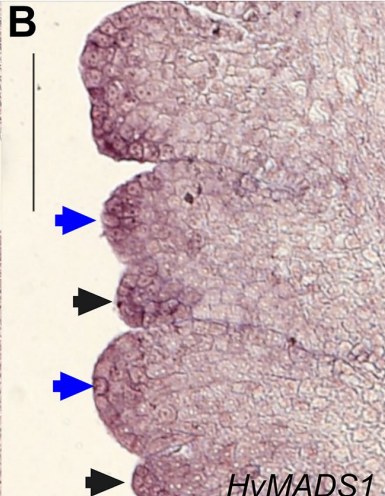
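This is a section along the flank of a young barley spike showing floret meristems and lemma primordia. Along the left edge sit large rounded domes of small, tightly packed cells with prominent nuclei and dense cytoplasm; below each dome is a smaller bulge, the emerging lemma. Both domes and bulges carry a purple tint, strongest in the outer cell layers, while the inner axis has larger, paler, more vacuolate cells. Thin lines running inward from the clefts between bulges mark the boundaries of the developing units.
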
